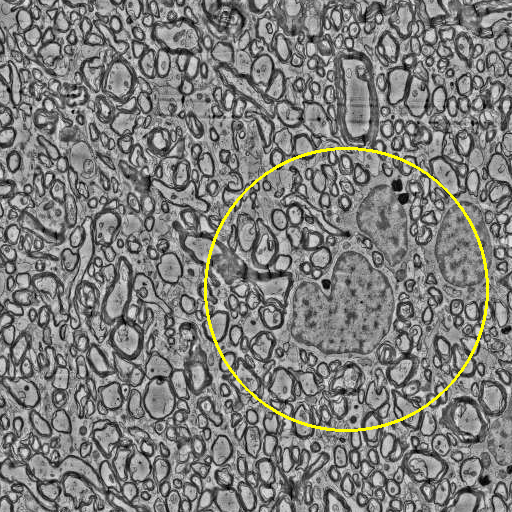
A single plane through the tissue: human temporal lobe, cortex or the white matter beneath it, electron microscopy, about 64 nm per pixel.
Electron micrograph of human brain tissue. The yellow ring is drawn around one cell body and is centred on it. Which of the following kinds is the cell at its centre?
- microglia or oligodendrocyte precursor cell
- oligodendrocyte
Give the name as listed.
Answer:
microglia or oligodendrocyte precursor cell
